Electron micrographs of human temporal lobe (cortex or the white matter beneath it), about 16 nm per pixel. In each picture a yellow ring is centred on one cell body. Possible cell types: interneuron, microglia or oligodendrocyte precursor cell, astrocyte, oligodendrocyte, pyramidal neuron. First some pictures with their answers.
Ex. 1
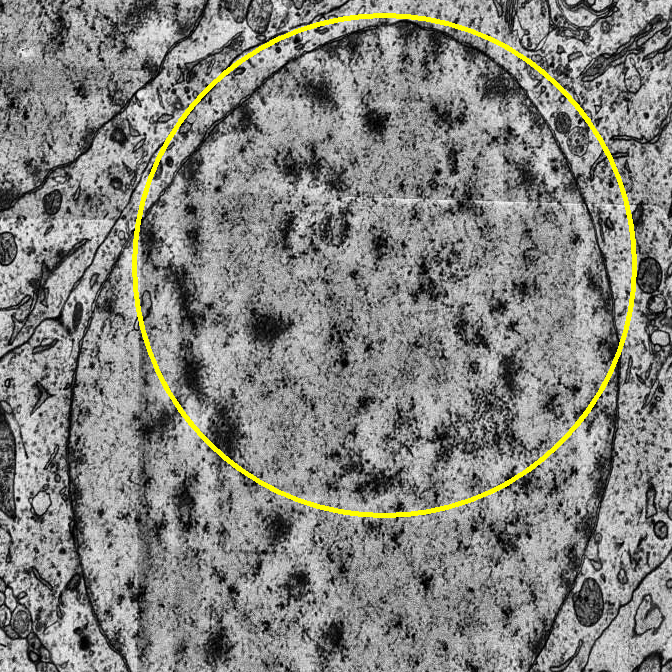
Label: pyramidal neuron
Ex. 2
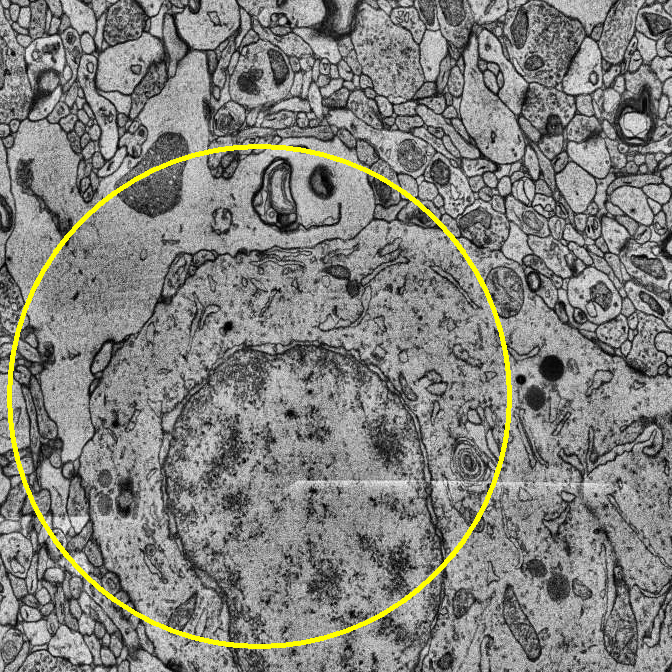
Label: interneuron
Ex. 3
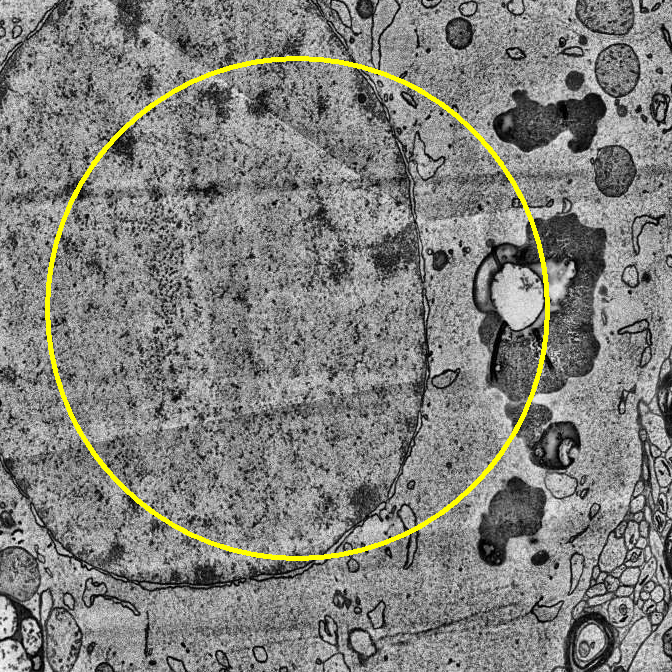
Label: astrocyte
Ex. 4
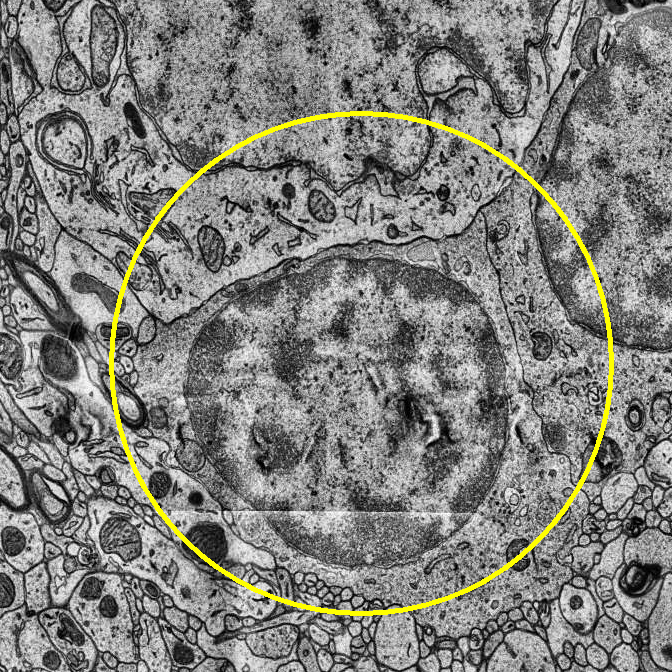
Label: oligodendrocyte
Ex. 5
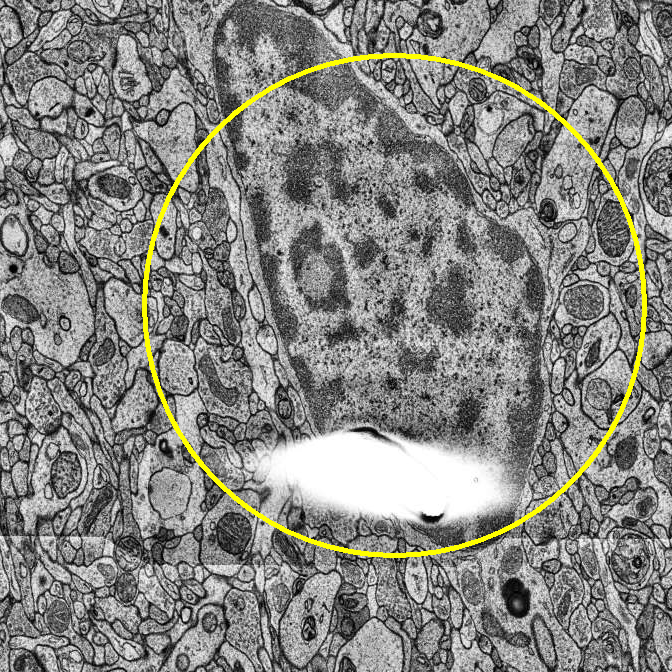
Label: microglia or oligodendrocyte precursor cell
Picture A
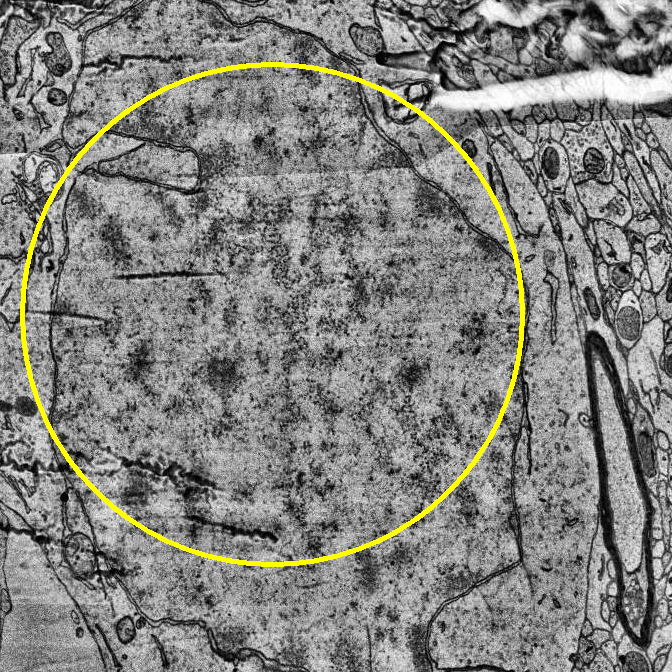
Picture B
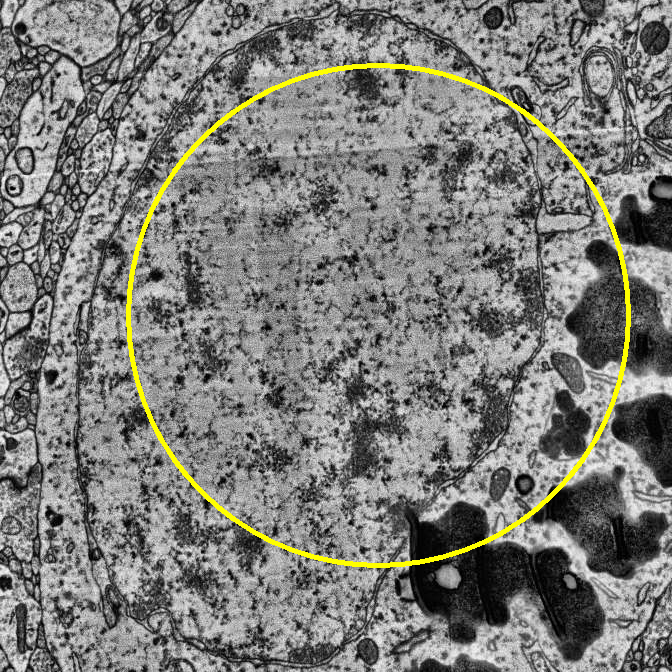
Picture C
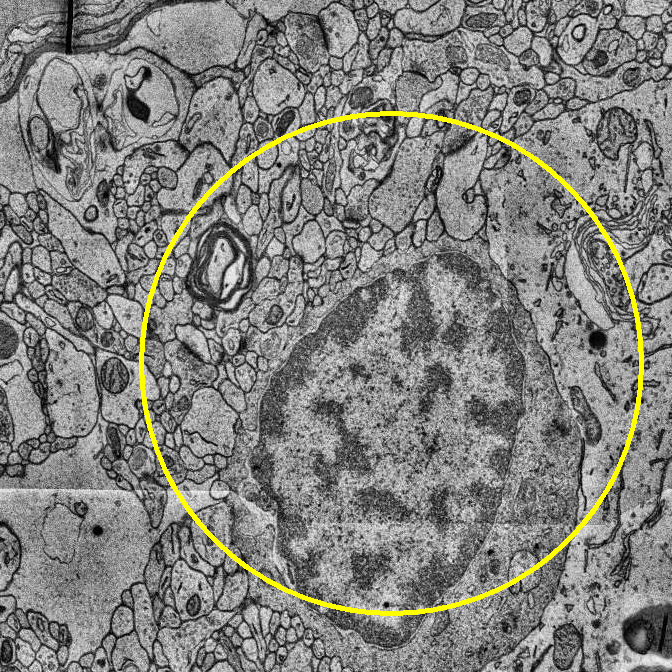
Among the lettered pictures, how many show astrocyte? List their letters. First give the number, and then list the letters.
0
